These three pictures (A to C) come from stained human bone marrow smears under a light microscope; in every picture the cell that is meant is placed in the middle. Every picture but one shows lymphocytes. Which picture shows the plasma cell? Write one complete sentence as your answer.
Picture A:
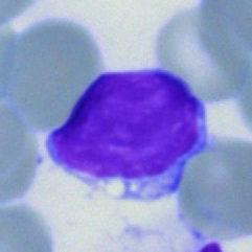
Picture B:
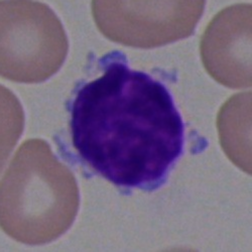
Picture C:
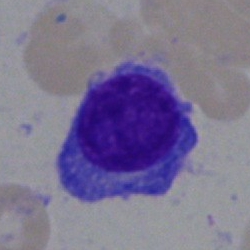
It is picture C that shows the plasma cell.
